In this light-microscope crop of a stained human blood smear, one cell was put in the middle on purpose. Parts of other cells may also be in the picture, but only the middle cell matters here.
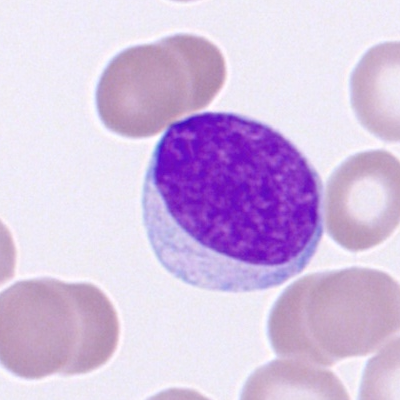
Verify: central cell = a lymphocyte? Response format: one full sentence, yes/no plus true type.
No, the centered cell is a myeloblast and not a lymphocyte at all.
